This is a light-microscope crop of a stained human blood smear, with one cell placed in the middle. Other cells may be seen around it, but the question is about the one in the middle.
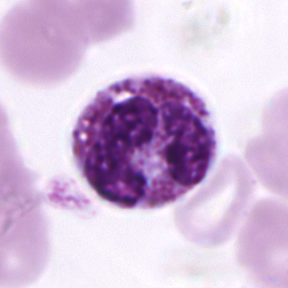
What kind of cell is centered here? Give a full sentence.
Centred in the crop is an eosinophil.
